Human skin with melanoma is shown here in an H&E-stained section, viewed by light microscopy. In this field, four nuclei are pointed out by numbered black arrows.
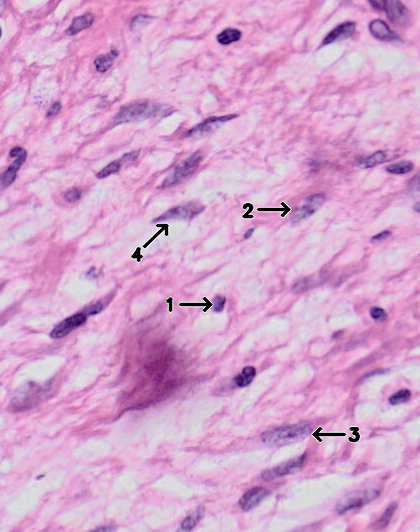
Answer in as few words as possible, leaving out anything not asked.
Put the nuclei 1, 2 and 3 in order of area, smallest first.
1, 2, 3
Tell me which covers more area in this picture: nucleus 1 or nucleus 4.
4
